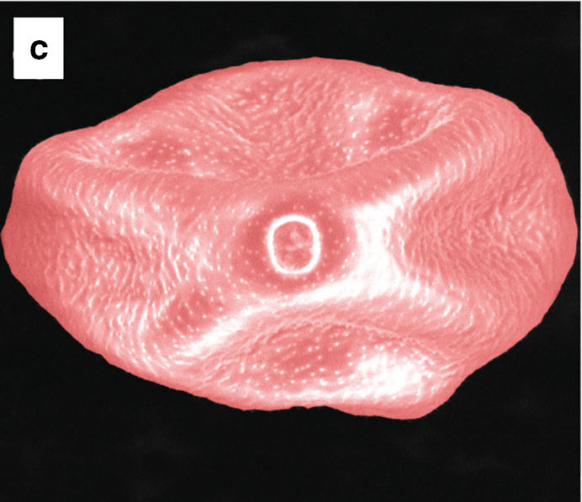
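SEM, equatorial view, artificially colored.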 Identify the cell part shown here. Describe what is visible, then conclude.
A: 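Pores. A small round opening with a thickened, bright ring-shaped rim lies at the centre of the grain. The rim stands out from the surrounding granular wall surface.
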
